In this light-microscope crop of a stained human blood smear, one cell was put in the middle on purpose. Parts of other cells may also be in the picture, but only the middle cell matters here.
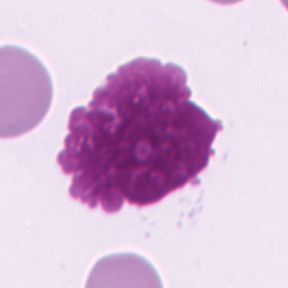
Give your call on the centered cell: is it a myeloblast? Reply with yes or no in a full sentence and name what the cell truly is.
No, the cell in the middle of the crop counts as a smudge cell and not as a myeloblast.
